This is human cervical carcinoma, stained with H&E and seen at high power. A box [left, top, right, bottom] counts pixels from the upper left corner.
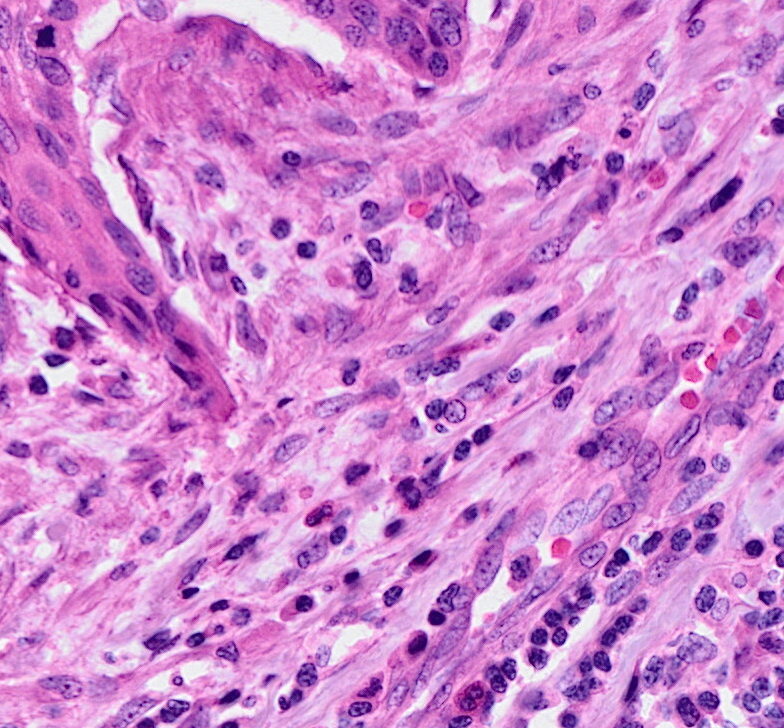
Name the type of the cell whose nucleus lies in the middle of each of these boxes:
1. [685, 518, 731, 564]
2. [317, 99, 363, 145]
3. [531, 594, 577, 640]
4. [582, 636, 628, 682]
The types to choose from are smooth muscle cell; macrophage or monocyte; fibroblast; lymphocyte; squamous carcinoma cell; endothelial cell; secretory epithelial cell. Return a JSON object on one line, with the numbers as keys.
{"1": "lymphocyte", "2": "fibroblast", "3": "lymphocyte", "4": "lymphocyte"}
